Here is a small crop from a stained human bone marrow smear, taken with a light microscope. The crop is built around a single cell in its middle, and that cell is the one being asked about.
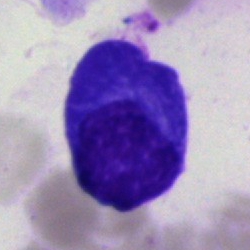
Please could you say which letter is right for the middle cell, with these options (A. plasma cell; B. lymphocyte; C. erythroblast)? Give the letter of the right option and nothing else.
A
